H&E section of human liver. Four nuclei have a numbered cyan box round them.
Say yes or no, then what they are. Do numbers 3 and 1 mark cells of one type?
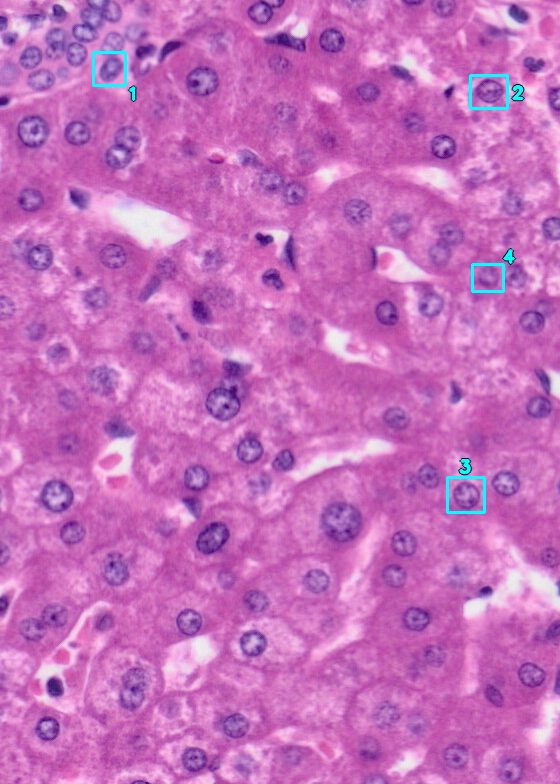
No, cell 3 is a hepatocyte and cell 1 is a cholangiocyte.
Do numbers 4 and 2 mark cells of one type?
Yes, both are hepatocytes.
